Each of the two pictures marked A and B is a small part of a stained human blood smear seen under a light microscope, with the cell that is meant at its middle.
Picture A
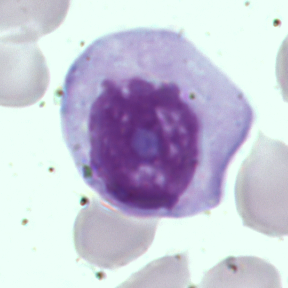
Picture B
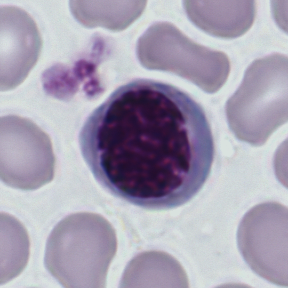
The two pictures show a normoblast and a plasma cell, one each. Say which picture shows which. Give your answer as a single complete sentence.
Picture A shows a plasma cell and picture B shows a normoblast.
